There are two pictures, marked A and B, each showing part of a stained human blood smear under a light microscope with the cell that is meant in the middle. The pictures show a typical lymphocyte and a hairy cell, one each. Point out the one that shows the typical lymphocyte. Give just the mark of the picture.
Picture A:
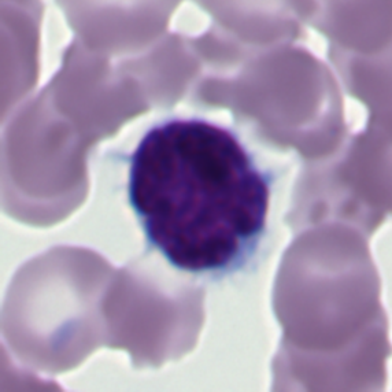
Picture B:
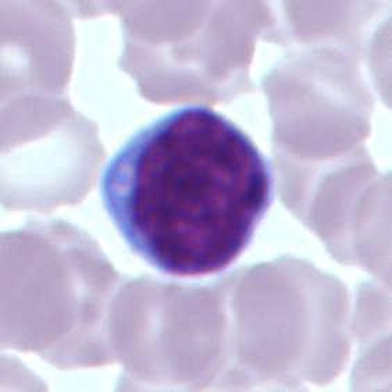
B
